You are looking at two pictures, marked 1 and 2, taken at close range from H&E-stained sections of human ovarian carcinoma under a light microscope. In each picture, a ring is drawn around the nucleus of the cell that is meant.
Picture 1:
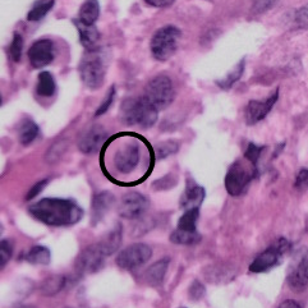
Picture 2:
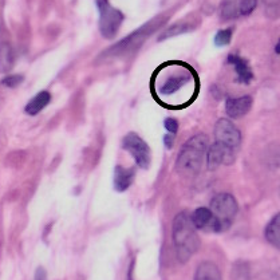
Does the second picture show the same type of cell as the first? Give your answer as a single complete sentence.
Yes, they are the same type: both are “macrophages or monocytes”.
